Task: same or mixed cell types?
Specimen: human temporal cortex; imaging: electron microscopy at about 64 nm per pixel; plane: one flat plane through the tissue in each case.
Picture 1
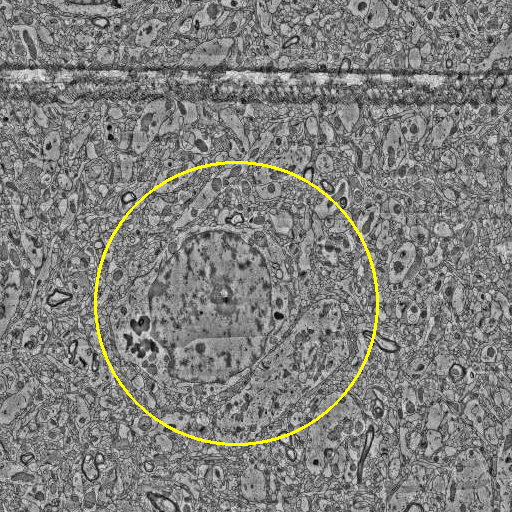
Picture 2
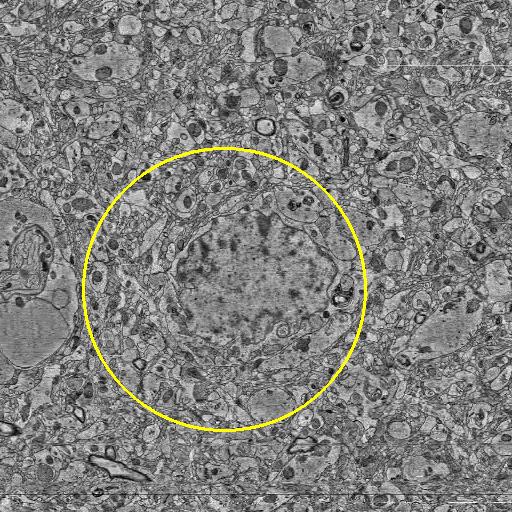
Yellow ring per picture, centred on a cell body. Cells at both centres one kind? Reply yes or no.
yes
